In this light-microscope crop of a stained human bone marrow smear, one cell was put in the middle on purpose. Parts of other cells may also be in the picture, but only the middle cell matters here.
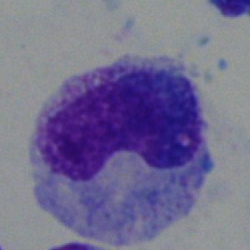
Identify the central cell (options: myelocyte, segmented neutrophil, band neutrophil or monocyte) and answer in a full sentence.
The cell at the central position in this crop is a monocyte.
